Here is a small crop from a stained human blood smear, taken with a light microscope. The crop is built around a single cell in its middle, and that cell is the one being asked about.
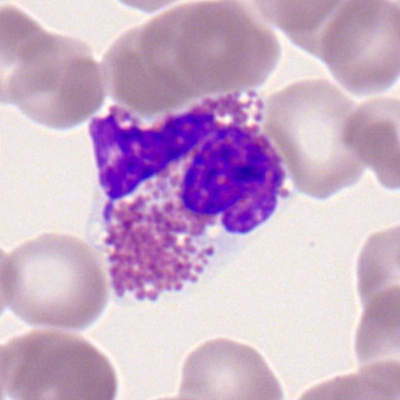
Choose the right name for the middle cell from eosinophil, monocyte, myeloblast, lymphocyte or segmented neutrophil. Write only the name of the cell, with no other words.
eosinophil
